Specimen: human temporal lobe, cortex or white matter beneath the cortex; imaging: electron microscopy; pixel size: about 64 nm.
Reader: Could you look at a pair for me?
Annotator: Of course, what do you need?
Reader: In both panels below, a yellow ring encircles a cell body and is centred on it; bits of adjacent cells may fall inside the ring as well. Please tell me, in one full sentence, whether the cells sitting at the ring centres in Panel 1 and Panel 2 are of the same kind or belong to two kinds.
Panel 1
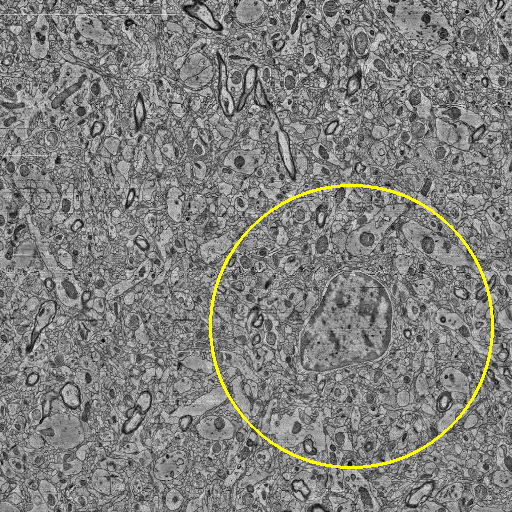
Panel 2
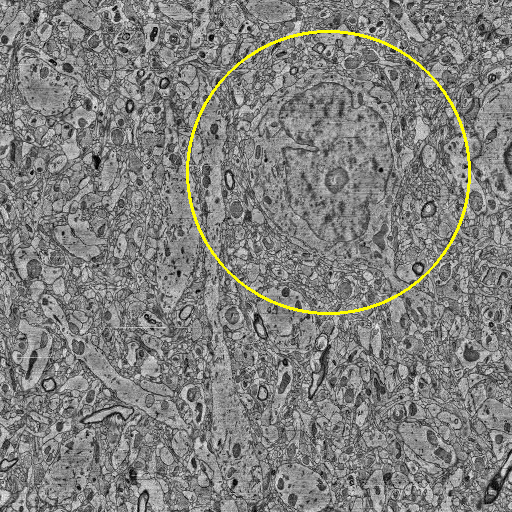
The cell at the ring's centre in Panel 1 and the one in Panel 2 belong to two kinds.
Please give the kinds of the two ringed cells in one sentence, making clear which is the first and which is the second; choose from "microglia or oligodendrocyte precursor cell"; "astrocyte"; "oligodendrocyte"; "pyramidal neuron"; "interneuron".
In the second picture the ringed cell is an interneuron; in the first it is a microglial cell or oligodendrocyte precursor cell.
